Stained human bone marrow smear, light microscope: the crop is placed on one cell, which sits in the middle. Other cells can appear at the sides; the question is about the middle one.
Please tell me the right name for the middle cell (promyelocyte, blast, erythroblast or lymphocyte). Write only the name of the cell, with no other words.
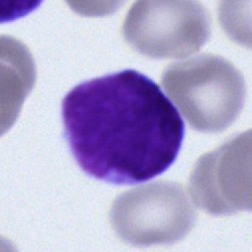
lymphocyte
